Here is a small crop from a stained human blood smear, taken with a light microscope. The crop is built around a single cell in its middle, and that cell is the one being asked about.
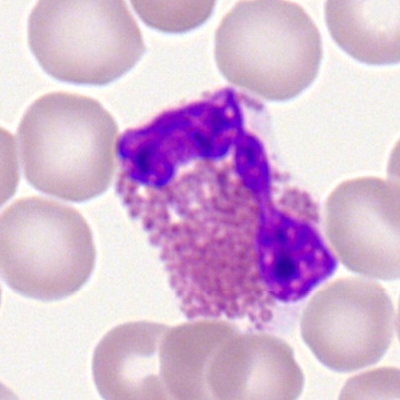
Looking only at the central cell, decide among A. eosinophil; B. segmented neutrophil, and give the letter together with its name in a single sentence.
The cell centred in the crop is an eosinophil, and the correct option is thus A.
